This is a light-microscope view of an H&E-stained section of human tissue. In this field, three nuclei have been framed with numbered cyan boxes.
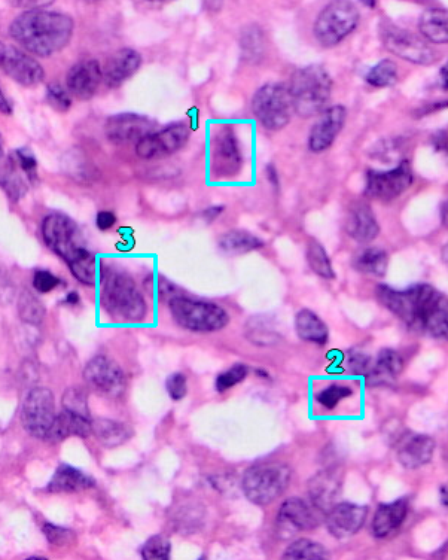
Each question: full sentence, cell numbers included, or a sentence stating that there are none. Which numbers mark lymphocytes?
Cell 2 is a lymphocyte; every other numbered cell is something else.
